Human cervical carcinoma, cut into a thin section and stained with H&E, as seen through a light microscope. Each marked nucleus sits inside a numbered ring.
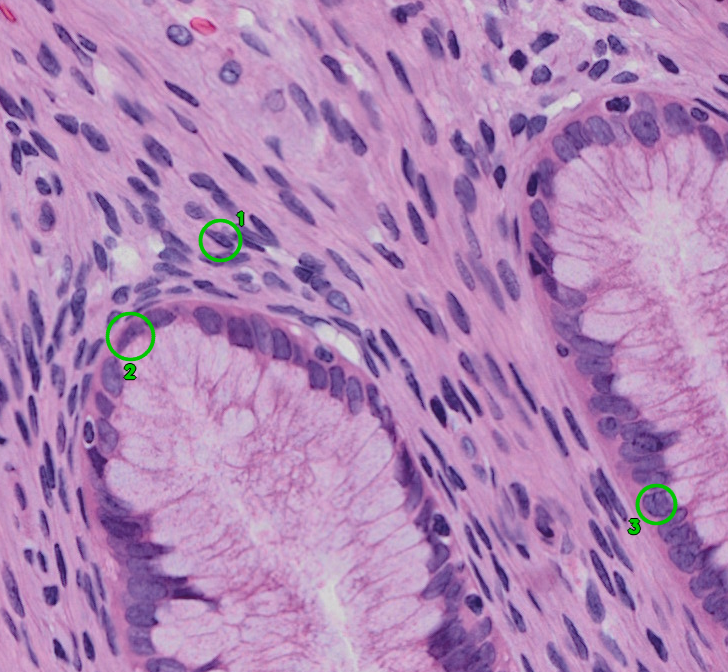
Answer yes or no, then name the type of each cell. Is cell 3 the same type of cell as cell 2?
Yes, by their numbers, cells 3 and 2 are both secretory epithelial cells.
